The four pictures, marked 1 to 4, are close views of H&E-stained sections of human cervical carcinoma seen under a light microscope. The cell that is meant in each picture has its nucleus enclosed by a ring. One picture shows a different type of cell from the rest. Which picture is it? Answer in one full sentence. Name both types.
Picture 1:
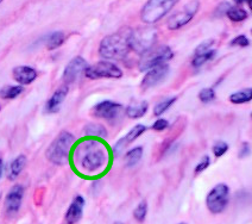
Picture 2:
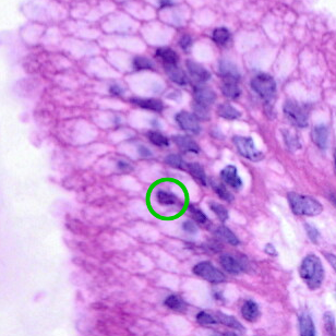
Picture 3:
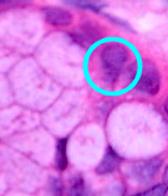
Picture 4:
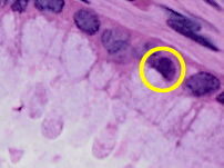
The different one is picture 1; it shows an endothelial cell, whereas all the others show secretory epithelial cells.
